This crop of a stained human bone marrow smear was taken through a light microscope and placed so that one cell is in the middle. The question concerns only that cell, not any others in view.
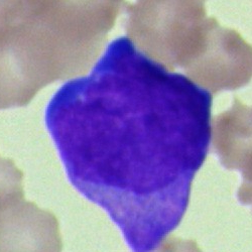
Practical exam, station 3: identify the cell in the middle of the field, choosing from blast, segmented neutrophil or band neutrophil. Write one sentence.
The cell under consideration, at the middle of the crop, is a blast.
